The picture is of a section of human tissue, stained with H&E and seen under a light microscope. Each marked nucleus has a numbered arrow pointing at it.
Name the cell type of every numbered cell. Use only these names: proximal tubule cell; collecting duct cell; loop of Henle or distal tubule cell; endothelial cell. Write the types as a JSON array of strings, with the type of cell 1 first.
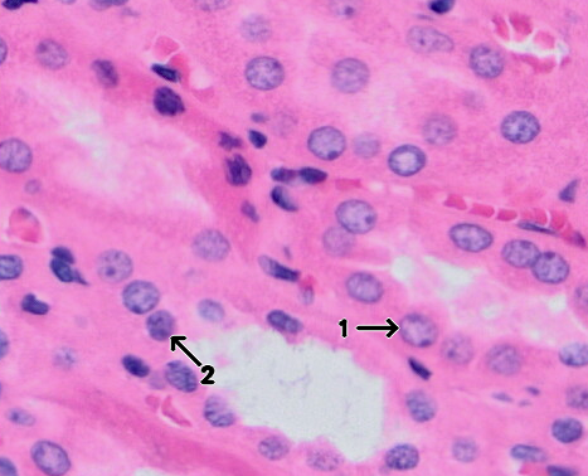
["proximal tubule cell", "loop of Henle or distal tubule cell"]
